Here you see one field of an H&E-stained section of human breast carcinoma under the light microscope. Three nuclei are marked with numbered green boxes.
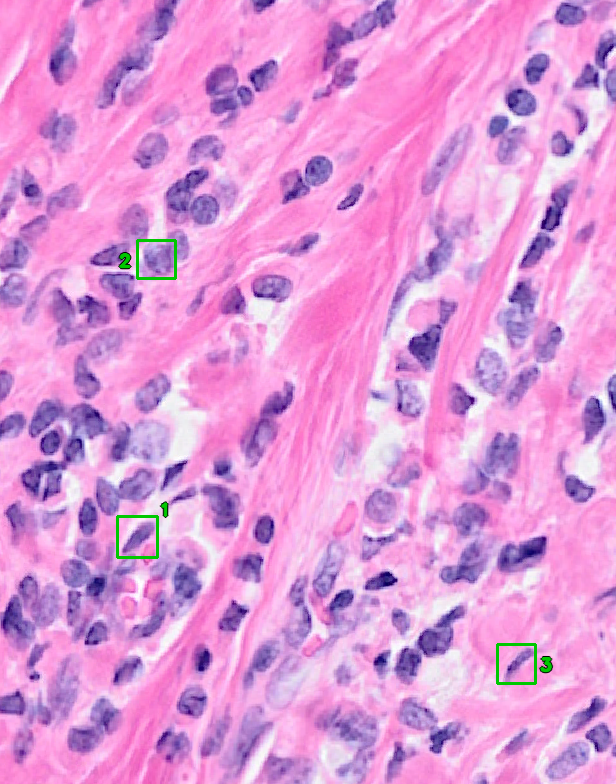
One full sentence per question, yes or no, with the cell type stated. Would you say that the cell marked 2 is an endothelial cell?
No, cell 2 is a carcinoma cell; it is not an endothelial cell.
